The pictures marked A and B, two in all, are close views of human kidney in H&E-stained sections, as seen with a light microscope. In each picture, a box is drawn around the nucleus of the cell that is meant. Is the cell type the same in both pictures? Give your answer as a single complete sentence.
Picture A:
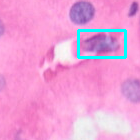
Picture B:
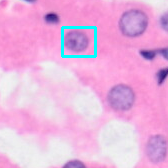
No, they differ: the cell is an endothelial cell in picture A and a proximal tubule cell in picture B.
